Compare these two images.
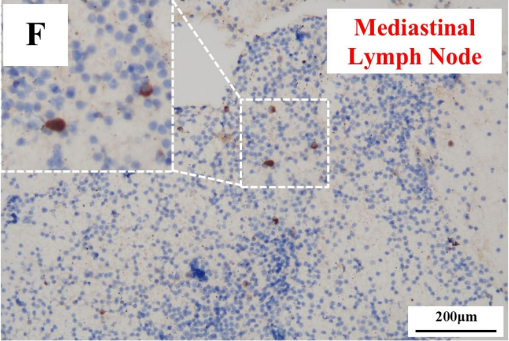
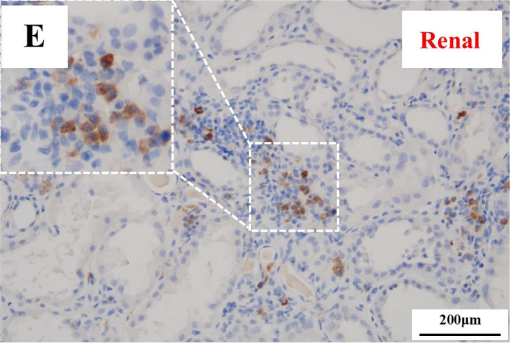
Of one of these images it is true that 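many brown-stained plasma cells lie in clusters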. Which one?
The second image.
